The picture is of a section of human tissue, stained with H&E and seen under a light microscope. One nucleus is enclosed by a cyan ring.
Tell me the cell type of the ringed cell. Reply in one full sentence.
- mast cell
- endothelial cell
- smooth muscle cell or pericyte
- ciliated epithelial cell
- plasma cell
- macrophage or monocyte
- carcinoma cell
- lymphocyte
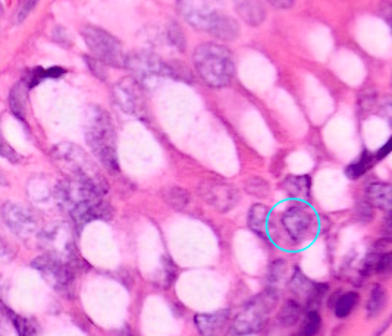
Histopathologically, the ringed cell is a ciliated epithelial cell.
